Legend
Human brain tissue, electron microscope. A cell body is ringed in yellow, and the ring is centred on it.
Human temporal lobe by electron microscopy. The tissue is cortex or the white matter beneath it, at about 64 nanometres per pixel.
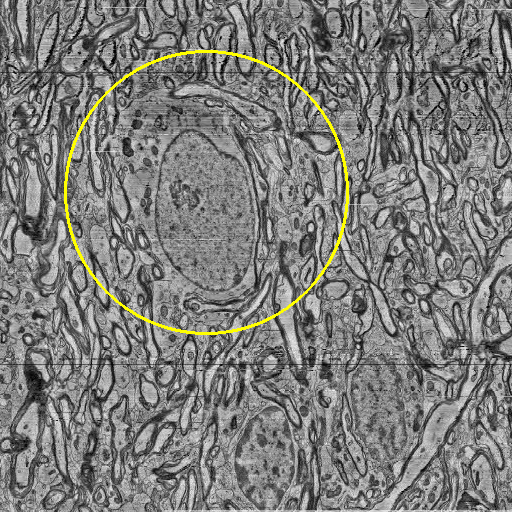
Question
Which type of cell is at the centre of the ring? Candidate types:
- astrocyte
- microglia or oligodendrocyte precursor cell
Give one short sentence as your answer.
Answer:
The yellow ring is centred here on an astrocyte.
